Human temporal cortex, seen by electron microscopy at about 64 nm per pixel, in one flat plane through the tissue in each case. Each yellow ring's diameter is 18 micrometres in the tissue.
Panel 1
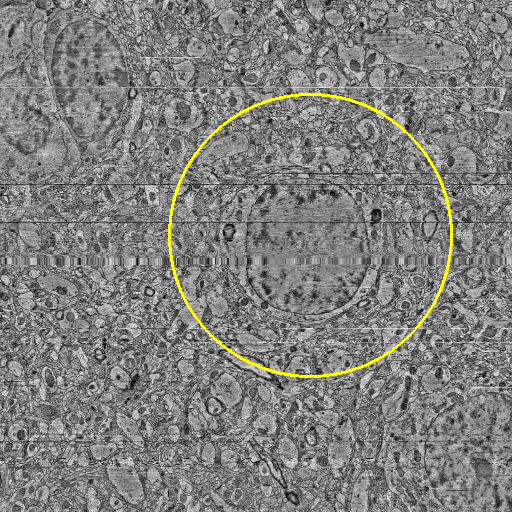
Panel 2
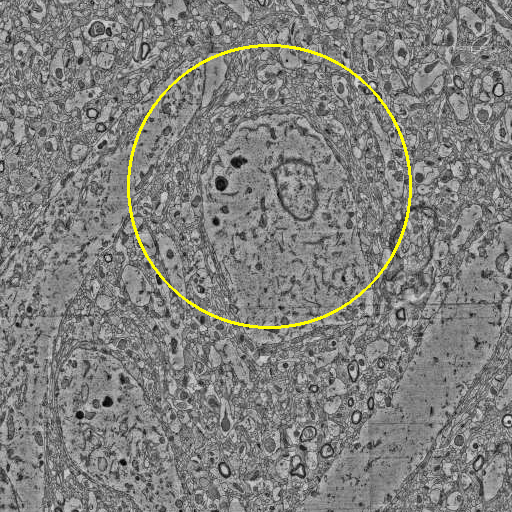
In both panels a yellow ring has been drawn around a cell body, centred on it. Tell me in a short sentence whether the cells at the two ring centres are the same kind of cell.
Yes, they are the same kind of cell.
